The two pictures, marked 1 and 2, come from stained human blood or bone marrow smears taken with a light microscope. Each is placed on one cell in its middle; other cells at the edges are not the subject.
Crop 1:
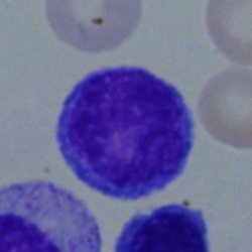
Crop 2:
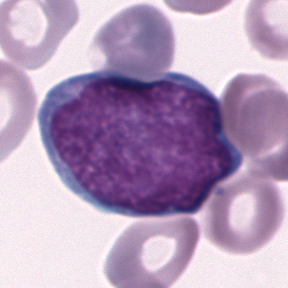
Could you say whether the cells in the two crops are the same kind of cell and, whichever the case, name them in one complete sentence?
Yes, for both crops, the central cells are blasts.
